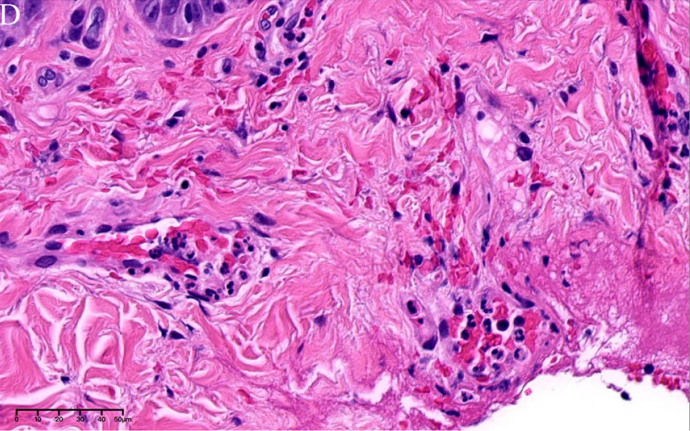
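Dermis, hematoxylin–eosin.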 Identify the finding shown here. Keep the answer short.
Perivascular infiltration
